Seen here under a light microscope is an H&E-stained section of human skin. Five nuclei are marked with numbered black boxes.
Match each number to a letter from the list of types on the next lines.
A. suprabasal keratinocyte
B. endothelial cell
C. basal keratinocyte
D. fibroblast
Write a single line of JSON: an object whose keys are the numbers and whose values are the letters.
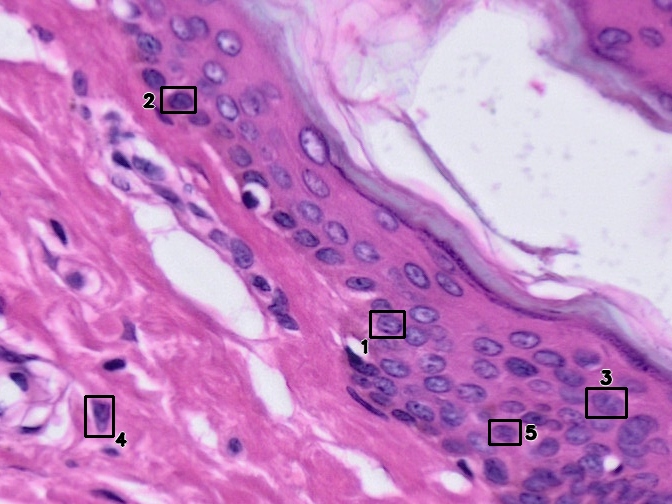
{"1": "C", "2": "C", "3": "A", "4": "D", "5": "C"}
